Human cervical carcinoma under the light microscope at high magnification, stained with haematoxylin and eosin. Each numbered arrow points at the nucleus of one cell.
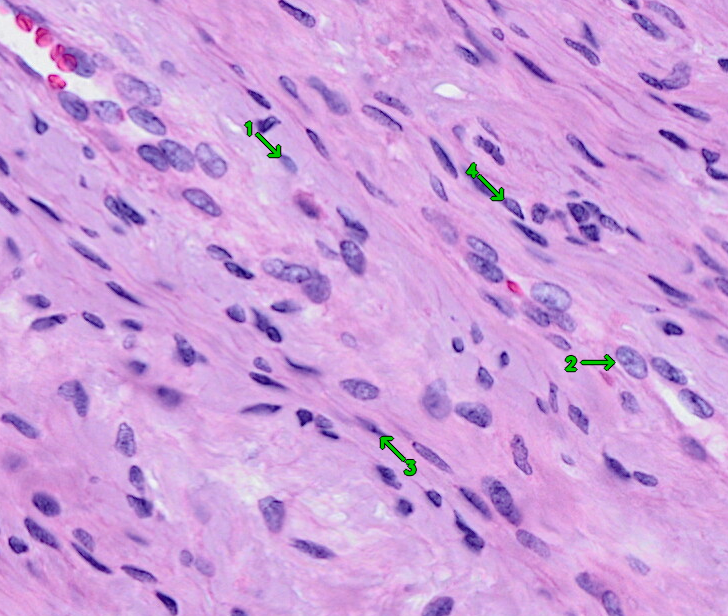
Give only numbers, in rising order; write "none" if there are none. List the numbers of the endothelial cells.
2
